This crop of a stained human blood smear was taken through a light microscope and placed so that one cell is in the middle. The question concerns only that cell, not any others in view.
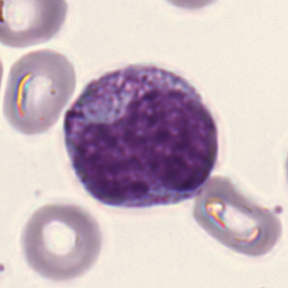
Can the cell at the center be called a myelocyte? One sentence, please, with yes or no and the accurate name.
Yes, that is a myelocyte in the middle of the crop.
